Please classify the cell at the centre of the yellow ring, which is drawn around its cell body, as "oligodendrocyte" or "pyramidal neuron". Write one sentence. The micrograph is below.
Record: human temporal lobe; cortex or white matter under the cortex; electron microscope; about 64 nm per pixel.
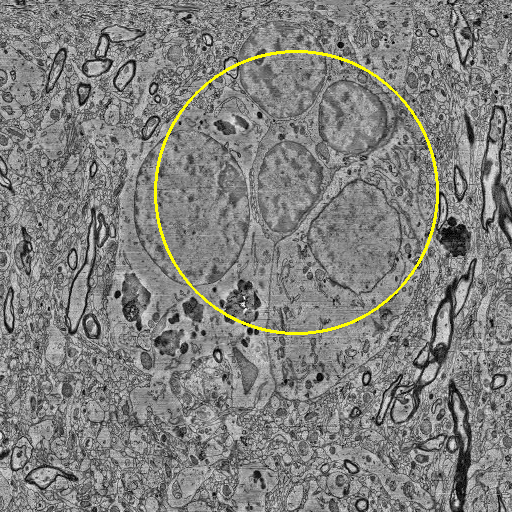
The cell at the ring's centre is classified as an oligodendrocyte.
